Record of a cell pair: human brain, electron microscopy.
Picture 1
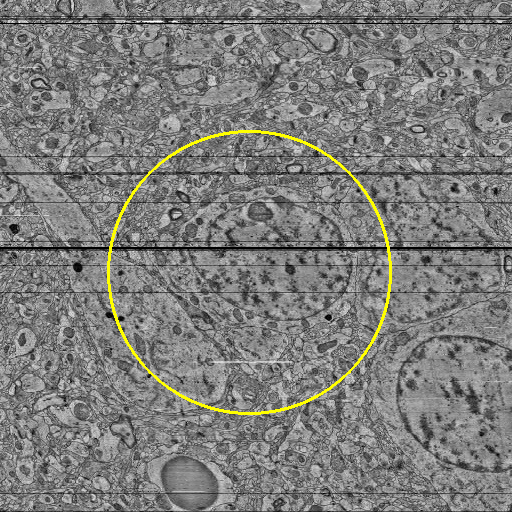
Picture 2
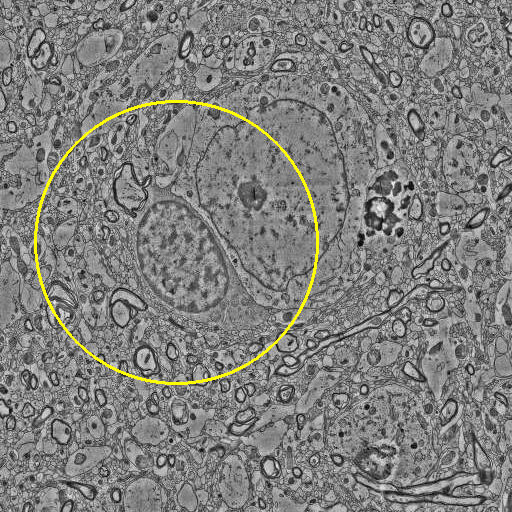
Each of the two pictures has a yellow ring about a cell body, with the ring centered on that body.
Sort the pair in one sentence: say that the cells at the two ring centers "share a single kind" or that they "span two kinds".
The cells centered in the rings of Pictures 1 and 2 span two kinds.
